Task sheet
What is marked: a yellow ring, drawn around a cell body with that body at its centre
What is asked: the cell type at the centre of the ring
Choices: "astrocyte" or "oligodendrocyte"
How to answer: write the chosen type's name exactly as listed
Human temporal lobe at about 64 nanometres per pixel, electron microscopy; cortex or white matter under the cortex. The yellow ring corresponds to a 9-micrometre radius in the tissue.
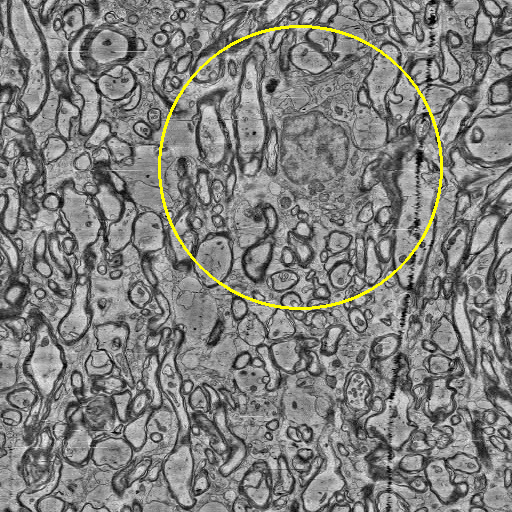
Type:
oligodendrocyte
